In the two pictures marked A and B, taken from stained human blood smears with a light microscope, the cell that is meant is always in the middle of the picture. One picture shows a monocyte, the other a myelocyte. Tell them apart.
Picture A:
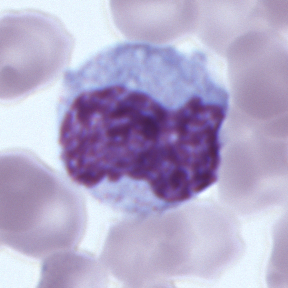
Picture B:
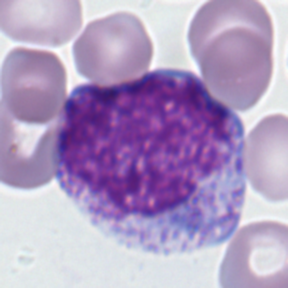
A: monocyte
B: myelocyte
